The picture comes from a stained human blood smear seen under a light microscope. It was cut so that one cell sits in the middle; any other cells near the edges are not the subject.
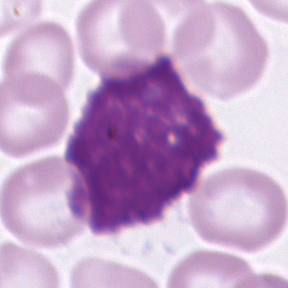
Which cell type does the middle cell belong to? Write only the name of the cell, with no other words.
smudge cell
